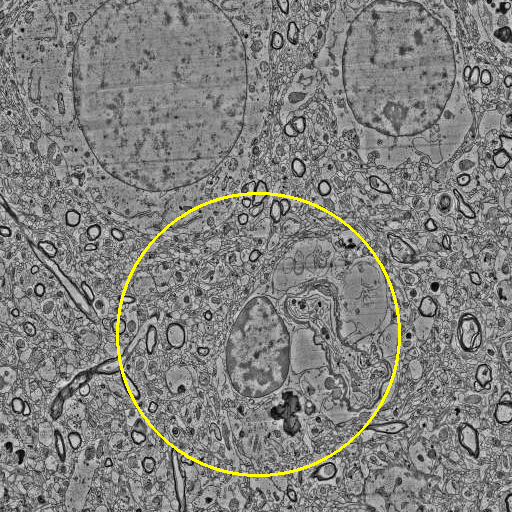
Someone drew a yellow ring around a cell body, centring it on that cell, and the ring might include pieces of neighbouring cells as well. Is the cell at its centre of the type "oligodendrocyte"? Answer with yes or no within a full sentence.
No, within the picture, the cell the ring is centred on is a different type.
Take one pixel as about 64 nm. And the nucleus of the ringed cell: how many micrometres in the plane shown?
In this plane, about 6 by 4 micrometres: the nucleus is clearly longer than it is wide.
